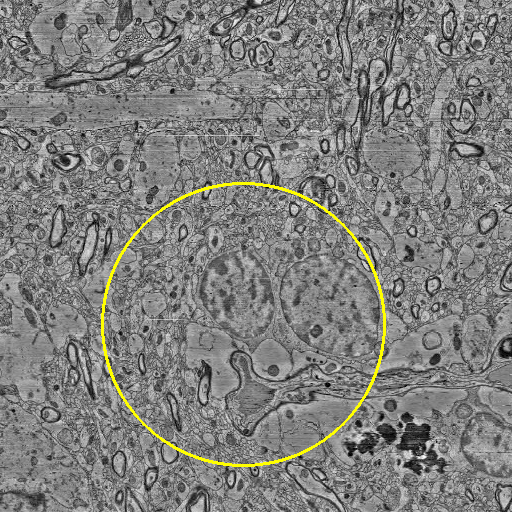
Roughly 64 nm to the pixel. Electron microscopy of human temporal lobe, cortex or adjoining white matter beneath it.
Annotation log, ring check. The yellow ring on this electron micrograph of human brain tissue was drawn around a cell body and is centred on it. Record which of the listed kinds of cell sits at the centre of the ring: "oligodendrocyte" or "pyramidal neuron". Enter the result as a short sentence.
The cell at the centre of the ring is an oligodendrocyte.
